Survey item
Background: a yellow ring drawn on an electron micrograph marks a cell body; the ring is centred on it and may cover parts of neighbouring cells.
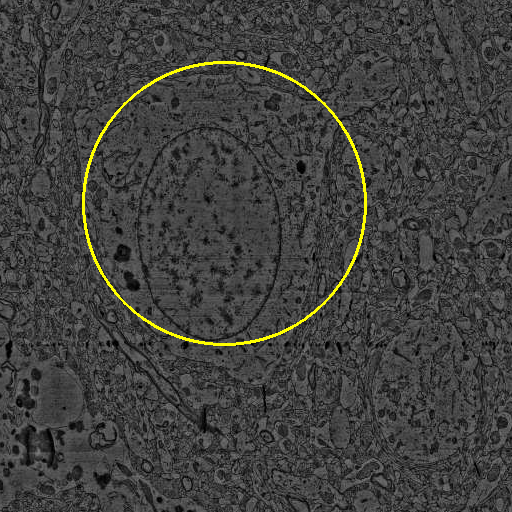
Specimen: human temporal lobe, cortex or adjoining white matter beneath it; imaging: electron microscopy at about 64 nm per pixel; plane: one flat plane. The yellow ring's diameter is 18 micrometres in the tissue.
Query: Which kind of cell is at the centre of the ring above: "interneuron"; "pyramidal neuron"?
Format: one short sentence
The cell in the middle of the ring is a pyramidal neuron.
